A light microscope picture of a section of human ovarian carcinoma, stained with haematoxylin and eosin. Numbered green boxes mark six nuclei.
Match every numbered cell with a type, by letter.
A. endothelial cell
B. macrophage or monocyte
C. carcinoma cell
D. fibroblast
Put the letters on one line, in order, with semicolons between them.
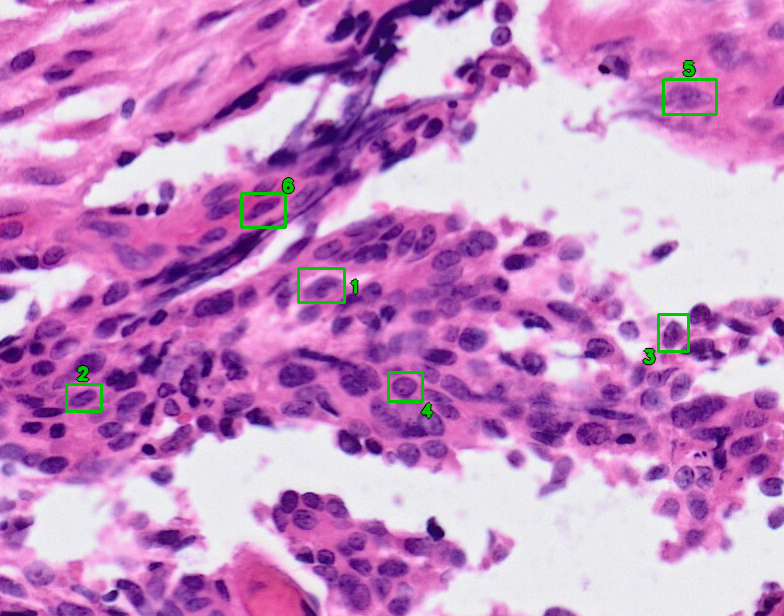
C; C; C; C; D; A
